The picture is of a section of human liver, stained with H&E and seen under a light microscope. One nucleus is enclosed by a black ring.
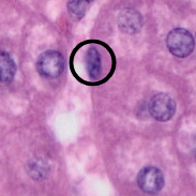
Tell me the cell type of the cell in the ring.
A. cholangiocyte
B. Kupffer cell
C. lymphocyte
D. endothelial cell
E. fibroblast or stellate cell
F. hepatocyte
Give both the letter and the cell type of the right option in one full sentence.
Here the cell in the ring is a fibroblast or stellate cell; pick option E.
